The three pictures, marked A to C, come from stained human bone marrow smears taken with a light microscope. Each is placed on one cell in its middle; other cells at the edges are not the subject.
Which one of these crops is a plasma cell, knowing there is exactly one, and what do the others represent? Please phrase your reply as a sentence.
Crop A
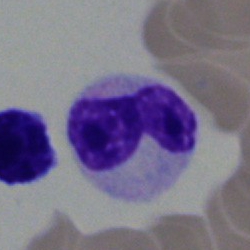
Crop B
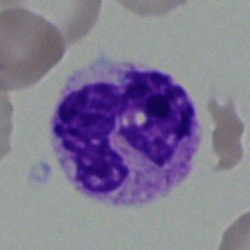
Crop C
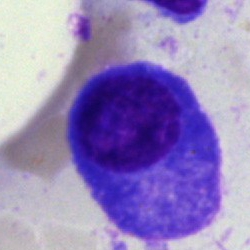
The centred cell in crop C is a plasma cell; meanwhile, crop A is a band neutrophil and crop B is a segmented neutrophil.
